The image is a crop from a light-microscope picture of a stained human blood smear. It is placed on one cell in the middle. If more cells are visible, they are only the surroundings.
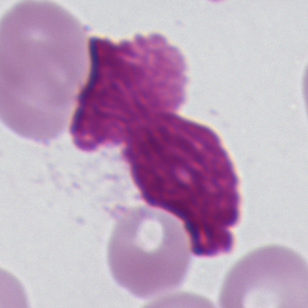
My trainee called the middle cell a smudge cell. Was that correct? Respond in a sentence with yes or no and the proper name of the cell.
Yes, the cell centred in the field of view is a smudge cell.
